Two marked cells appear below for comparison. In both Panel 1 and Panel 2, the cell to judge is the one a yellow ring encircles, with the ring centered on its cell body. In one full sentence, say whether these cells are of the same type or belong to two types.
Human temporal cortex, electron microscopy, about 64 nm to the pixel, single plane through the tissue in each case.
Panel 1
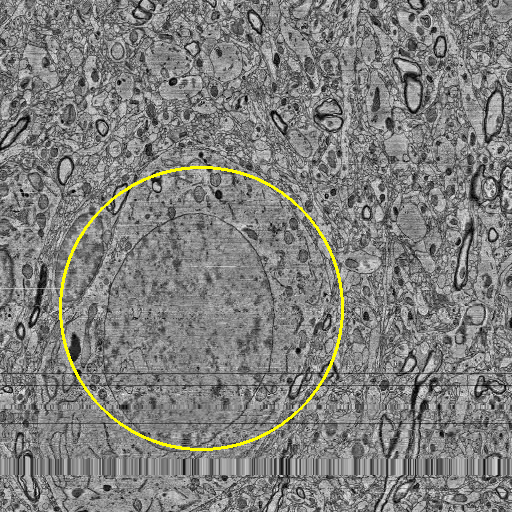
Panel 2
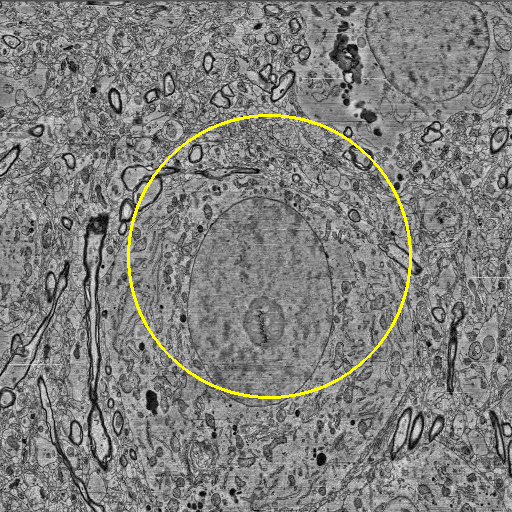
The cell centered in the Panel 1 ring and the one in Panel 2 belong to two types.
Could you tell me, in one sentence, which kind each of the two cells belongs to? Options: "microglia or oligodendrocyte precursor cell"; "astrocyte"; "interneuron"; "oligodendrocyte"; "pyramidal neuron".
At the centre of the first ring sits a pyramidal neuron, and at the centre of the second sits an interneuron.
